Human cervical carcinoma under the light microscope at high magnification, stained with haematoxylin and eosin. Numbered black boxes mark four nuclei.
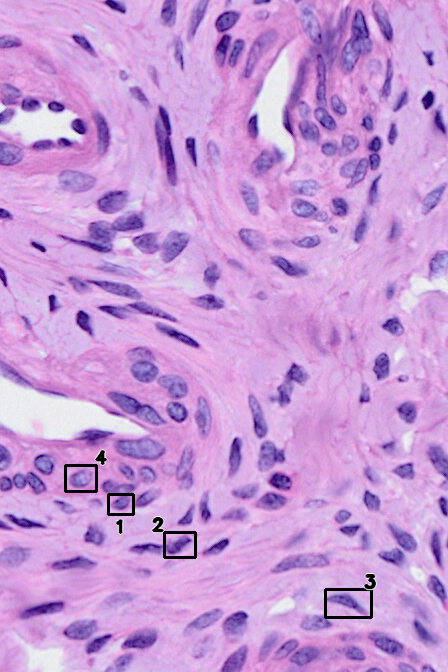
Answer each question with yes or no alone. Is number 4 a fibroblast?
no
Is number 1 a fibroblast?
no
